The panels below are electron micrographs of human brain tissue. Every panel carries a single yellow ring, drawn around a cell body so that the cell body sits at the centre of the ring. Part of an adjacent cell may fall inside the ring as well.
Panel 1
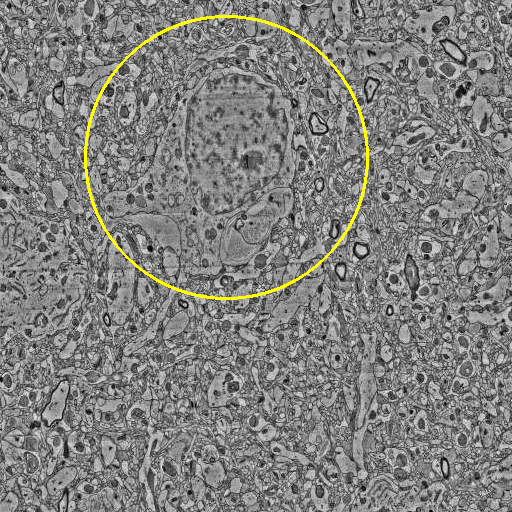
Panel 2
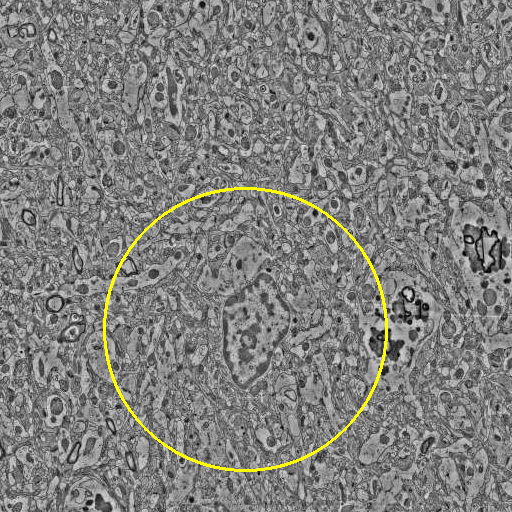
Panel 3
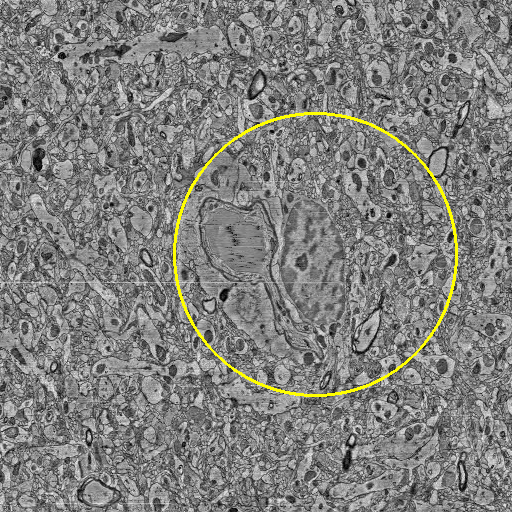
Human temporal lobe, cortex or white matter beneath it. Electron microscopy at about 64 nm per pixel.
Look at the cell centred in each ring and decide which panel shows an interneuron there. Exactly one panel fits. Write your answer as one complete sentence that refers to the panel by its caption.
Panel 1 has it at the centre of its ring.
